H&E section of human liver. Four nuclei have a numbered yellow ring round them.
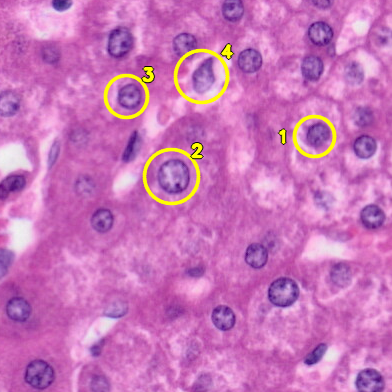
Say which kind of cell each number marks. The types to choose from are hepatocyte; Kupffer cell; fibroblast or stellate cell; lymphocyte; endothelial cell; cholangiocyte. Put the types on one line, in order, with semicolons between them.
hepatocyte; hepatocyte; hepatocyte; Kupffer cell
